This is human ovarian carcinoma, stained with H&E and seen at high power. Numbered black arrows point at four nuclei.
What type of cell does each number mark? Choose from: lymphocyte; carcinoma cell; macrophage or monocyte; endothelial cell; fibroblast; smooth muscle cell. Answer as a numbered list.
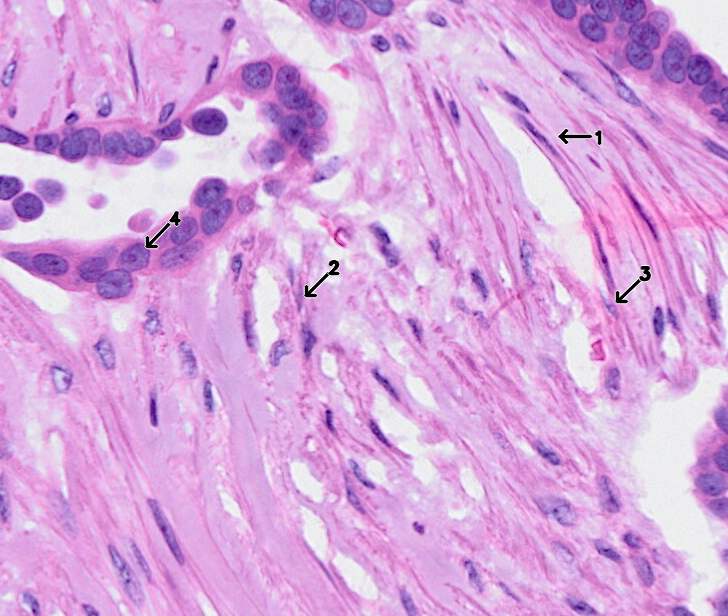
1. fibroblast
2. fibroblast
3. fibroblast
4. carcinoma cell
